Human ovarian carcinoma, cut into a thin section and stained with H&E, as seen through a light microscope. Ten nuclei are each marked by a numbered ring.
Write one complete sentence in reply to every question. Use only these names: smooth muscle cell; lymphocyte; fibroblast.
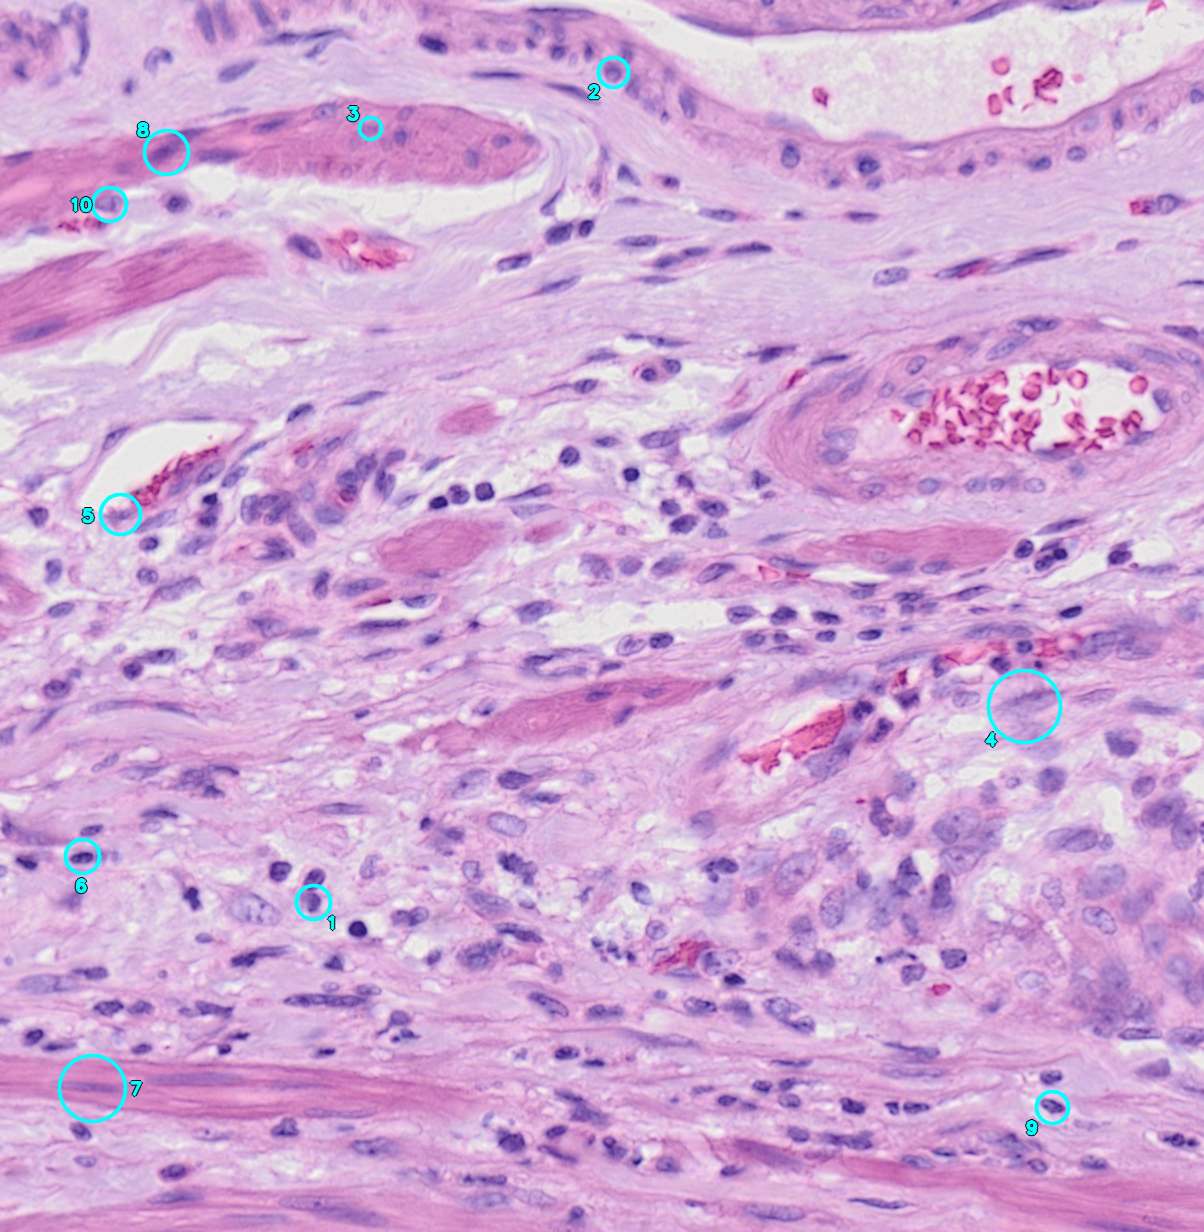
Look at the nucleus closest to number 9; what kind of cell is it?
The cell nearest to number 9 is a lymphocyte.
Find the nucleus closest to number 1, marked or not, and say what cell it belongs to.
The cell nearest to number 1 is a lymphocyte.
